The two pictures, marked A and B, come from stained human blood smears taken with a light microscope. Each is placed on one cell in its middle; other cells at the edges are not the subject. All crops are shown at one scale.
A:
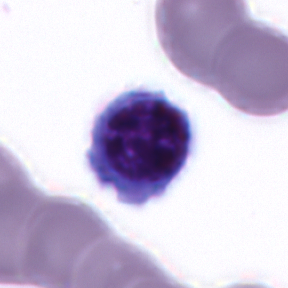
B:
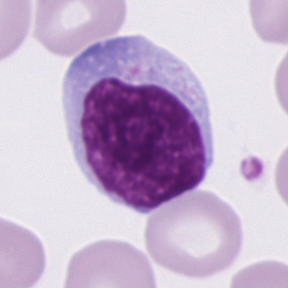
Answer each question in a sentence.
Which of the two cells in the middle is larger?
The cell in crop B is larger, with about 2 times the area of the one in crop A.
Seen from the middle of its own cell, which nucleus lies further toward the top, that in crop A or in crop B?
It is the nucleus in crop A that lies further toward the top of its cell.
